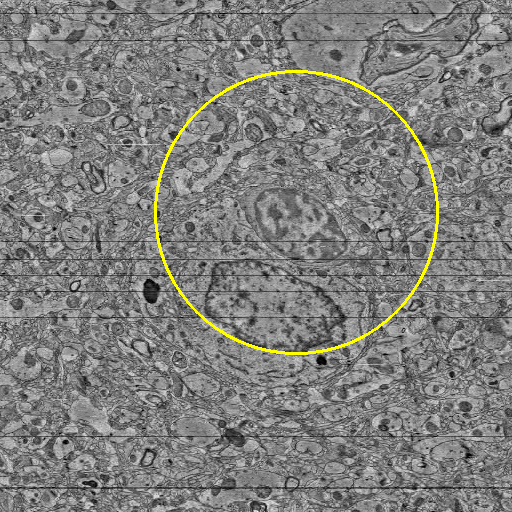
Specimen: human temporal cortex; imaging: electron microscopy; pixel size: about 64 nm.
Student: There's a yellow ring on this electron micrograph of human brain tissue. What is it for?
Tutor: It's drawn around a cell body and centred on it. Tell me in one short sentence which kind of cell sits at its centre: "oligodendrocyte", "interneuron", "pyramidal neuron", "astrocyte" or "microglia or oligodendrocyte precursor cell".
The cell at the centre of the ring is an oligodendrocyte.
